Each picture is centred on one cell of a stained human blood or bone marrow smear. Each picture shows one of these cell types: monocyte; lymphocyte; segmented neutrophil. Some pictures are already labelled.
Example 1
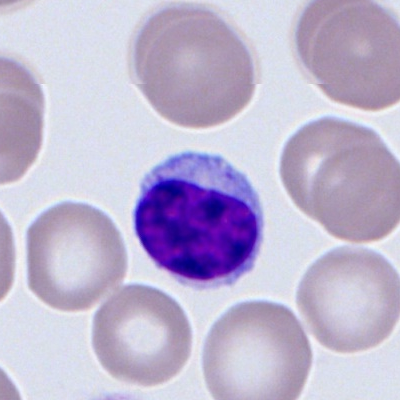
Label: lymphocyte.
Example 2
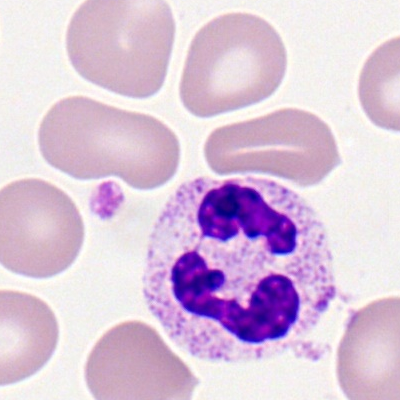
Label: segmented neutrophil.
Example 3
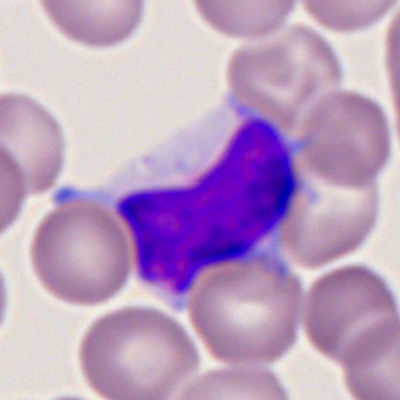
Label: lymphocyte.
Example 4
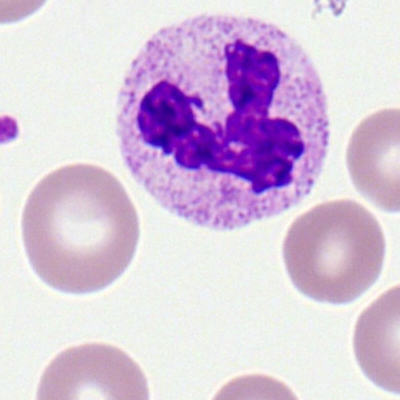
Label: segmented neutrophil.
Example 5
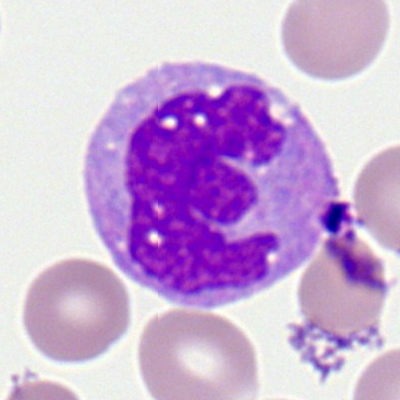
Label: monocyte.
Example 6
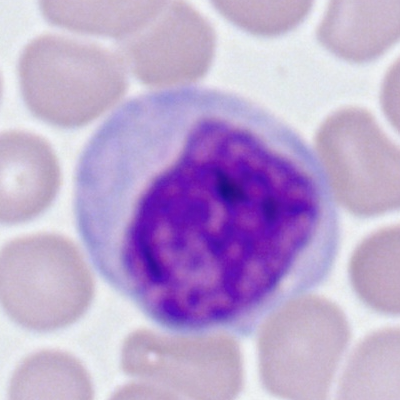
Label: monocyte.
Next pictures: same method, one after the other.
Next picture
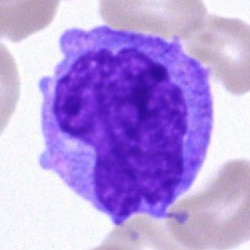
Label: monocyte.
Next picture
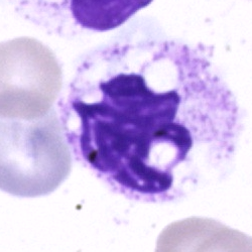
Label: segmented neutrophil.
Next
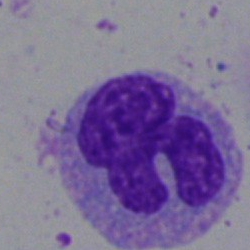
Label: monocyte.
